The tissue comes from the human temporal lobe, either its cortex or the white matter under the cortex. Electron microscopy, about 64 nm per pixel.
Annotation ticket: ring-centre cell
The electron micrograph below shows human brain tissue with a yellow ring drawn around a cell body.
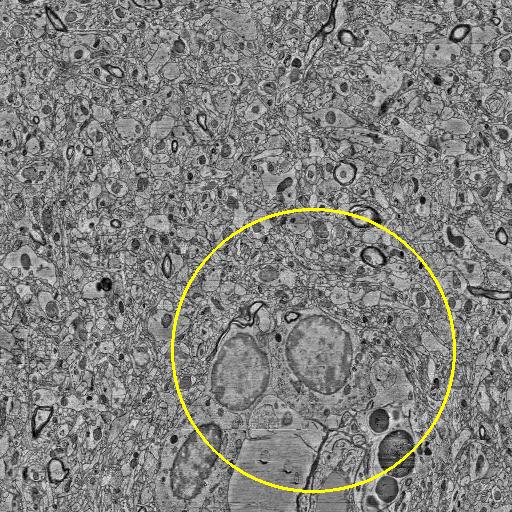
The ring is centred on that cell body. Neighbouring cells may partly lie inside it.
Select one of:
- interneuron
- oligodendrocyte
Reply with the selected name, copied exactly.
oligodendrocyte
